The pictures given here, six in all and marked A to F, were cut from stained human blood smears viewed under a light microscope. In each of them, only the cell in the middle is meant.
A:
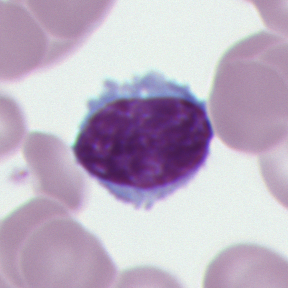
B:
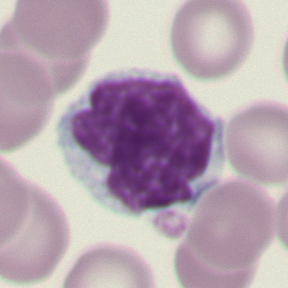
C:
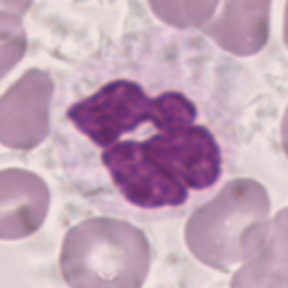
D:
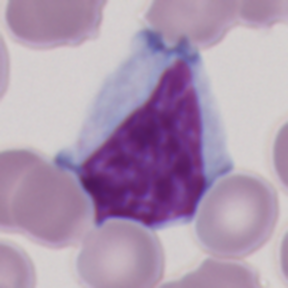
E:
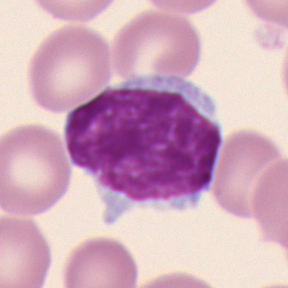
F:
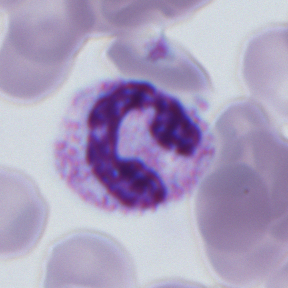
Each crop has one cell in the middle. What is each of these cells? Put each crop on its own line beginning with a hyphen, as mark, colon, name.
- A: typical lymphocyte
- B: typical lymphocyte
- C: segmented neutrophil
- D: typical lymphocyte
- E: typical lymphocyte
- F: segmented neutrophil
